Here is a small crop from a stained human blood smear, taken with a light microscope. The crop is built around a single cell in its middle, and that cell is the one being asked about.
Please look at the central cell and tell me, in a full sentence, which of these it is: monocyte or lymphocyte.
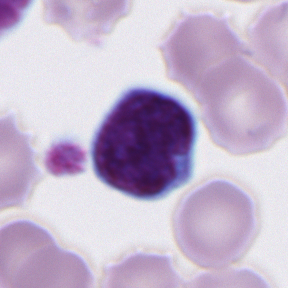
For this crop, the cell in the middle is a lymphocyte.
